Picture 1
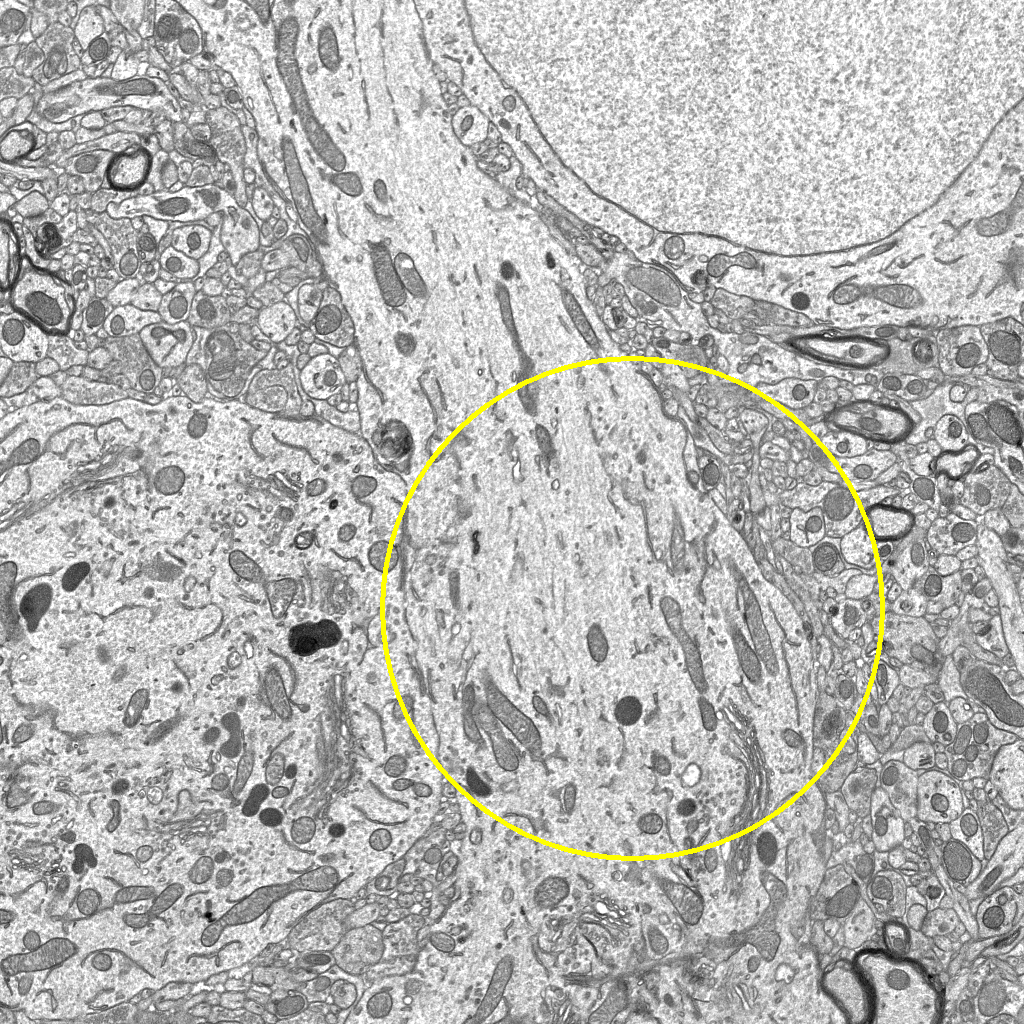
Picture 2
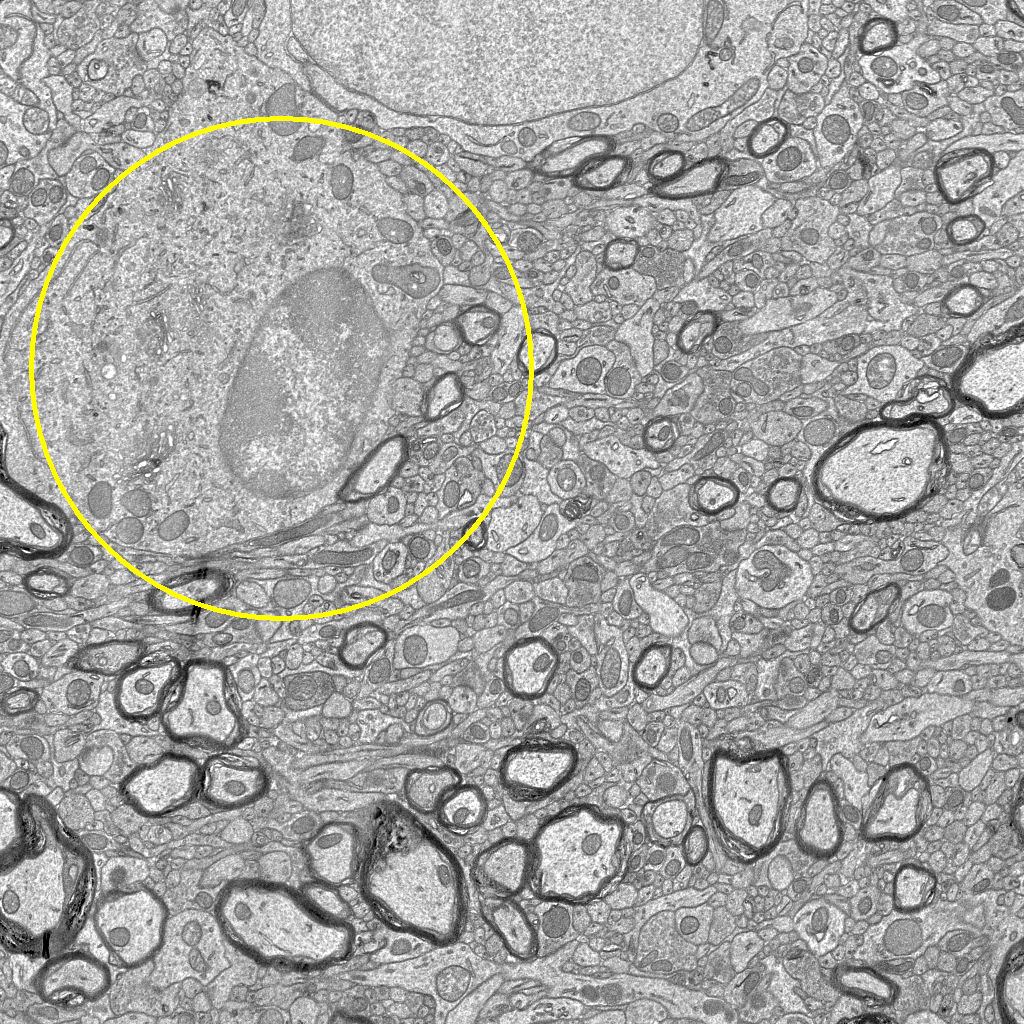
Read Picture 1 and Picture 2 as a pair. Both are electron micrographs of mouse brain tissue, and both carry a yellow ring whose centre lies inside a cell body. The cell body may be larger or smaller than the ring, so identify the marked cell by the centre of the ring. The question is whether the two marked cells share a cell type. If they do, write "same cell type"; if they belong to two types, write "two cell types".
same cell type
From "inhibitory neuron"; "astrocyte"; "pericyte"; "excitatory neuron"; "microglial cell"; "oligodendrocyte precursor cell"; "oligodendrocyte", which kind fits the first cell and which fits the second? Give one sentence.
The first and the second cell are each an oligodendrocyte.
